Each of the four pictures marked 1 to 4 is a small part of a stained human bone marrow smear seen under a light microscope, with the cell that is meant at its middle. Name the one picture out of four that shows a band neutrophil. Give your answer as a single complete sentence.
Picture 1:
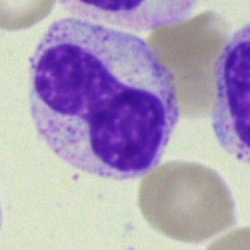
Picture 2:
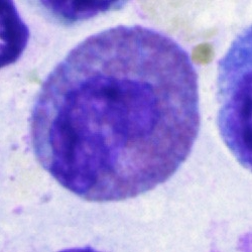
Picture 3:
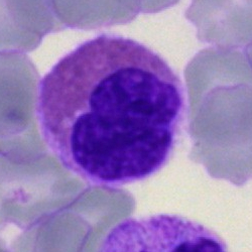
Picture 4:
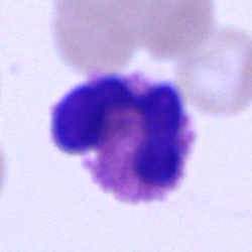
It is picture 1 that shows the band neutrophil.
